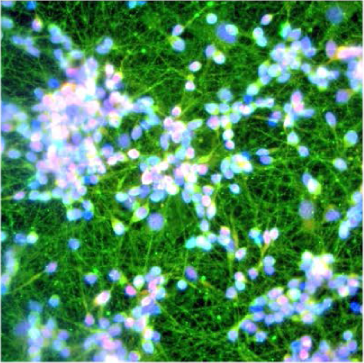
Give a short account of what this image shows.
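Cultured neurons are shown by fluorescence, with many small round cell bodies crowded into irregular clusters and others spread between them. Fine green processes extend between the cells and form a dense meshwork across the field.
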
